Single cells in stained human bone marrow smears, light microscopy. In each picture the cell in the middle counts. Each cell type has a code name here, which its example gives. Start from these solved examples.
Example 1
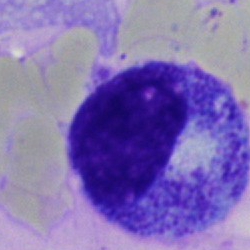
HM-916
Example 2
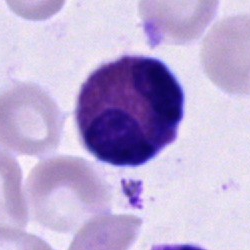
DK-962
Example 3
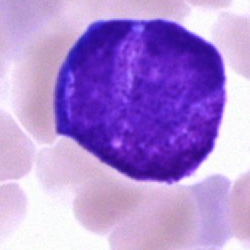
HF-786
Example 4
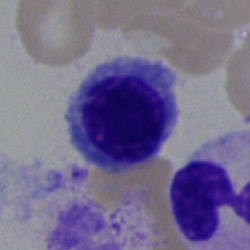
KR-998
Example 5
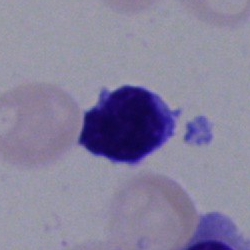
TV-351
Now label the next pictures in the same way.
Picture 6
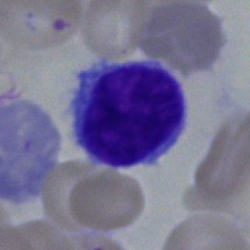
TV-351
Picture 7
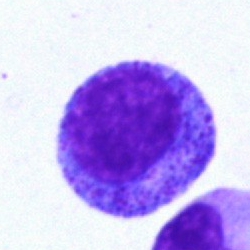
HM-916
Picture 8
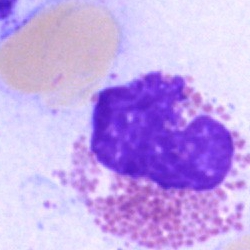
DK-962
